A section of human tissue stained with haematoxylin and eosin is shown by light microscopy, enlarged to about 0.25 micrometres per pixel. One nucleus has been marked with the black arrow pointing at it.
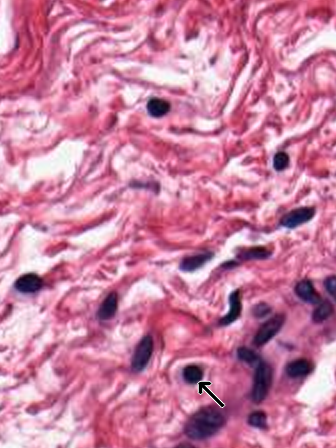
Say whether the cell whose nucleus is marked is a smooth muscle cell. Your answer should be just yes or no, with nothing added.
no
